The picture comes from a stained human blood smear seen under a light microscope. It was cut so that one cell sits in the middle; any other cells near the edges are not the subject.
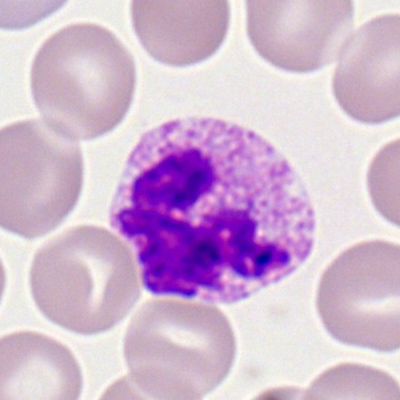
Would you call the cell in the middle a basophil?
yes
